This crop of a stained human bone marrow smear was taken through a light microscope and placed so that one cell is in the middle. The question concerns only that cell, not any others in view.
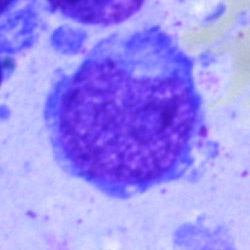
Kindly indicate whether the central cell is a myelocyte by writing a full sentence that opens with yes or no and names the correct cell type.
No, the identification should read a blast, not a myelocyte, for the central cell.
